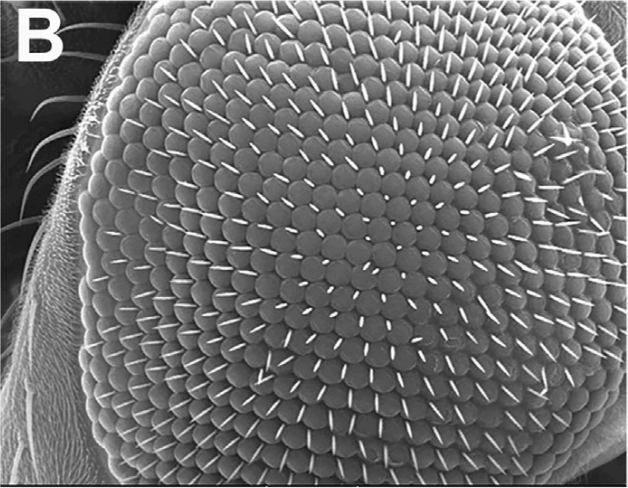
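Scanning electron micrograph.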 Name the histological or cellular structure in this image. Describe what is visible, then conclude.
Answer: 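Many rounded convex facets packed side by side in regular rows. Fine bristles project between neighbouring facets. The facets fill a large domed surface. So: ommatidia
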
